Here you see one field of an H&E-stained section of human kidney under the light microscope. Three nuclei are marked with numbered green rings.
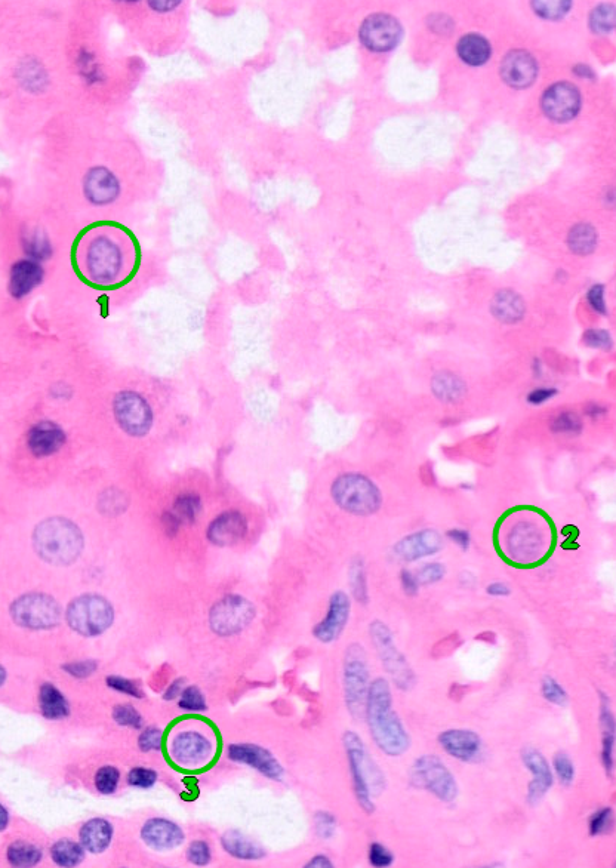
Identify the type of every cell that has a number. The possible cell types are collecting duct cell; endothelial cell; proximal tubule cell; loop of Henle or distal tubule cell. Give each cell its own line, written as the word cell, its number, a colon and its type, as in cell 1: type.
cell 1: proximal tubule cell
cell 2: proximal tubule cell
cell 3: collecting duct cell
